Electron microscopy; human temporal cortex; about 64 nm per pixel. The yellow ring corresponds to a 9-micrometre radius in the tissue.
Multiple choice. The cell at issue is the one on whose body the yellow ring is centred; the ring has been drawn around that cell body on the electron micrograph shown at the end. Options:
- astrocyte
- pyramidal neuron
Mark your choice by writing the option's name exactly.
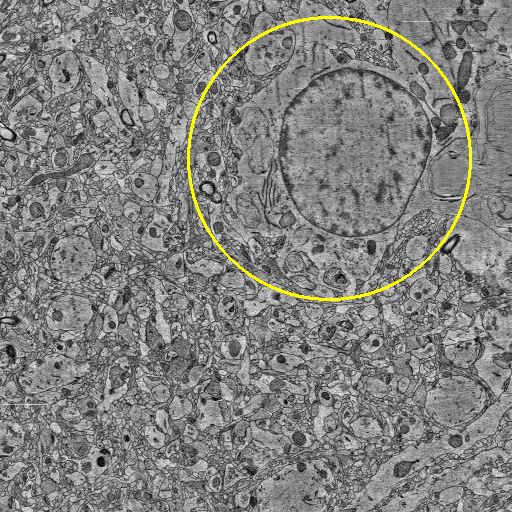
astrocyte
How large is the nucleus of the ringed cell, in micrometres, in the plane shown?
Approximately 10 micrometers across in this plane.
